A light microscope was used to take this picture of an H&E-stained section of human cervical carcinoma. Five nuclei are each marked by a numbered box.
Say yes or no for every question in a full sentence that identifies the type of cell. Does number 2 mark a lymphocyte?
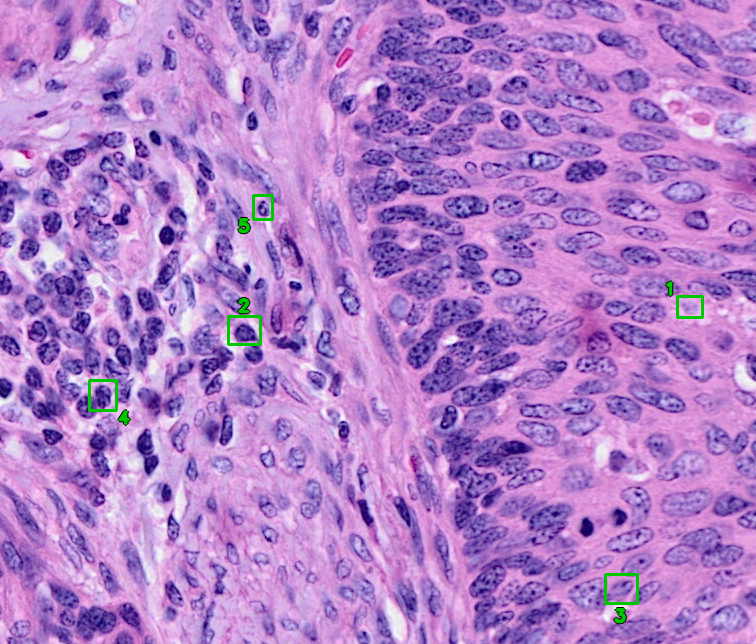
Yes, the nucleus numbered 2 belongs to a lymphocyte.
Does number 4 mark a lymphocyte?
Yes, the cell tagged with the number 4 is a lymphocyte.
